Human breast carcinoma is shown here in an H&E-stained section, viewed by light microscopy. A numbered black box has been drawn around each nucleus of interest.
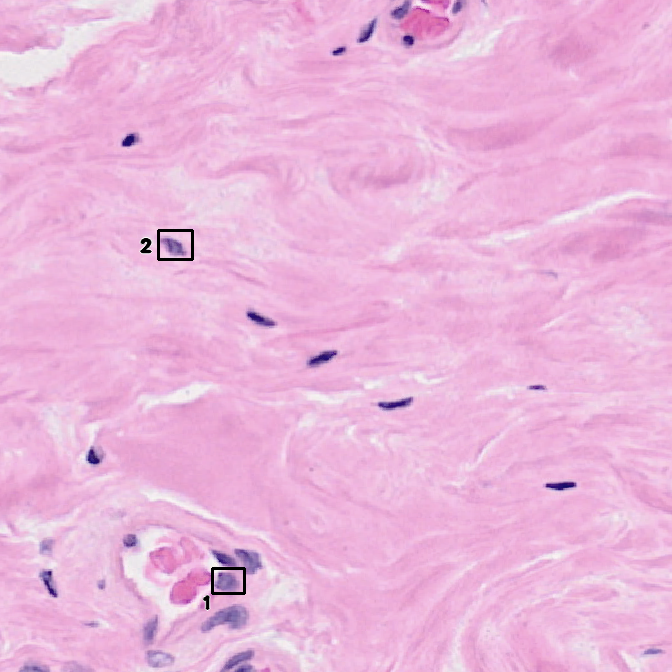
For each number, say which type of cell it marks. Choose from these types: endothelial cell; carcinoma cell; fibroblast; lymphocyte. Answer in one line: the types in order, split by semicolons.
endothelial cell; fibroblast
